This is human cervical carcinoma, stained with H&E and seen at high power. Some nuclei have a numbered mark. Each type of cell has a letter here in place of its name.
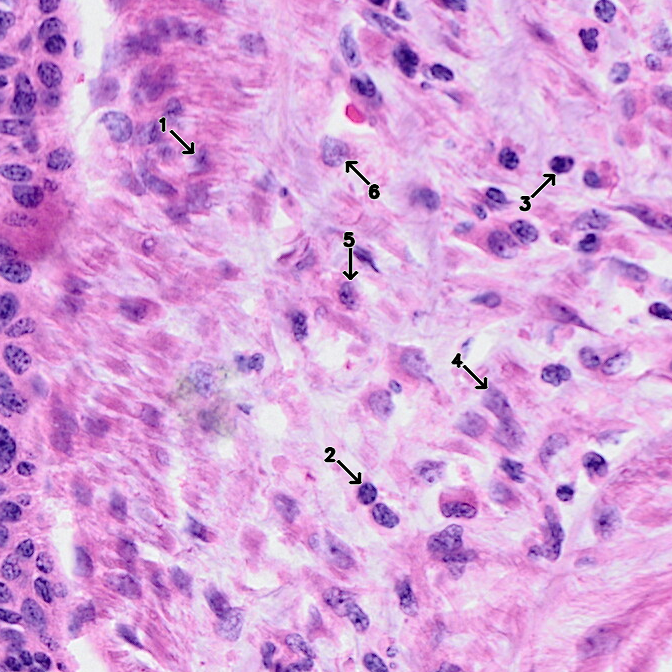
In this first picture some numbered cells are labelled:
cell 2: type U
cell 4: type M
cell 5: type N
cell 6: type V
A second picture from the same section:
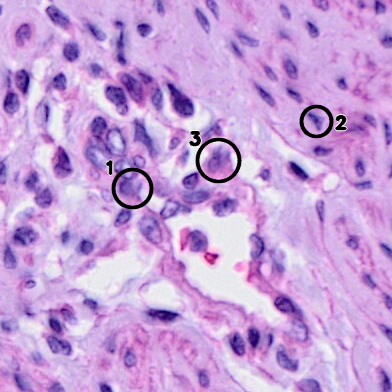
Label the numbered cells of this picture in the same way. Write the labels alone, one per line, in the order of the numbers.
type V
type M
type N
